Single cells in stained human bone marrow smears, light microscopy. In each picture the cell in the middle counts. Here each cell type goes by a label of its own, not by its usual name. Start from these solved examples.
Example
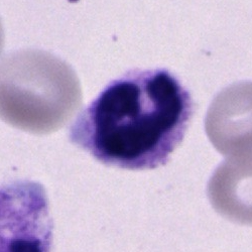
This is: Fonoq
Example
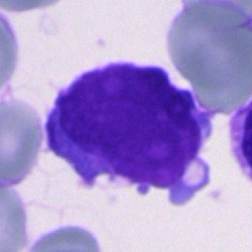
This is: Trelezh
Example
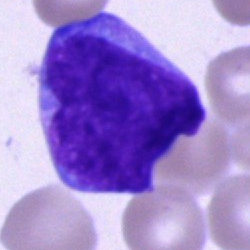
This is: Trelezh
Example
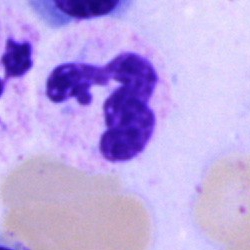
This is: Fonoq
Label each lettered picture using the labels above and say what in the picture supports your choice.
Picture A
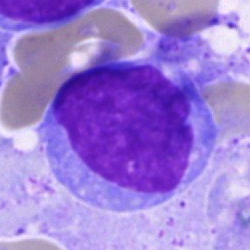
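Trelezh. Reason: The nucleus fills most of the cell and lies toward its upper side.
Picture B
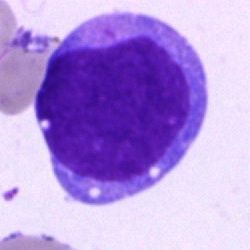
Trelezh. Reason: The nucleus is large and fills most of the cell.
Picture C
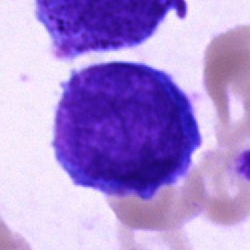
Trelezh. Reason: The nucleus fills almost the whole cell.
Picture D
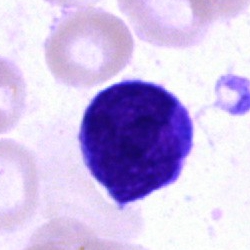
Trelezh. Reason: Cytoplasm is scant, forming at most a very thin rim around the nucleus.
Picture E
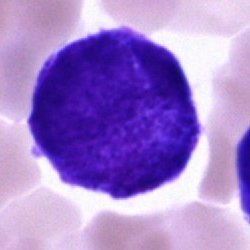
Trelezh. Reason: The chromatin looks finely stippled rather than coarsely clumped.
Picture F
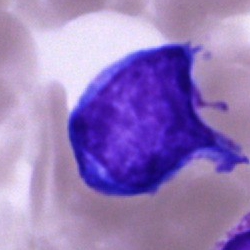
Trelezh. Reason: The chromatin looks finely textured, with paler mottled patches rather than coarse dark clumps.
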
